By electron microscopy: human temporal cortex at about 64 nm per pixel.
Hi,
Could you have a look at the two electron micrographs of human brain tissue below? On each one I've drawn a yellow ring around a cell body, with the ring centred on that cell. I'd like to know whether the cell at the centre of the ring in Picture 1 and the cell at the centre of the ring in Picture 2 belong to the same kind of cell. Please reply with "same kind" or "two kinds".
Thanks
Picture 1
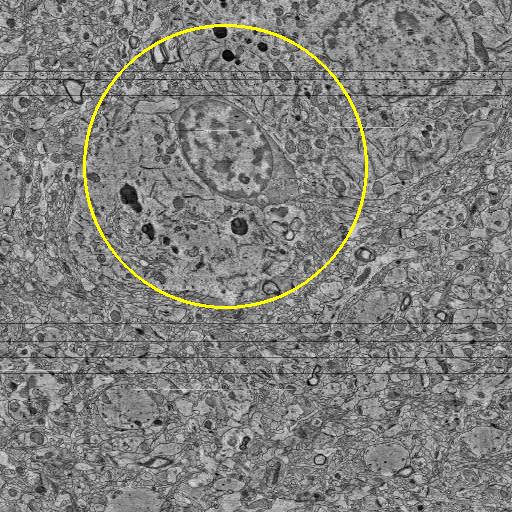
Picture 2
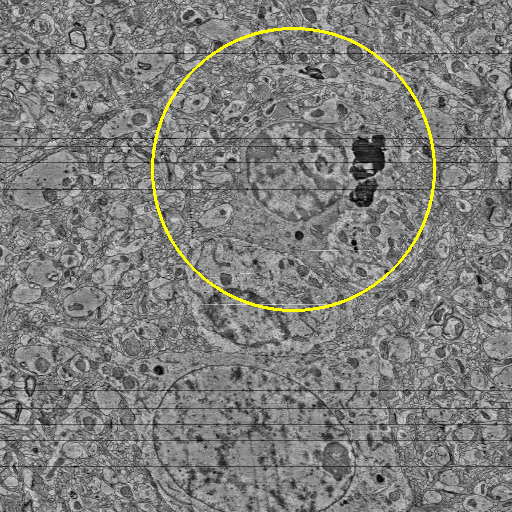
same kind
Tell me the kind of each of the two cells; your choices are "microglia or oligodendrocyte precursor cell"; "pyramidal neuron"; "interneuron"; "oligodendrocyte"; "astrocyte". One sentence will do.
The cell in the first picture is an oligodendrocyte, and so is the one in the second.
